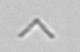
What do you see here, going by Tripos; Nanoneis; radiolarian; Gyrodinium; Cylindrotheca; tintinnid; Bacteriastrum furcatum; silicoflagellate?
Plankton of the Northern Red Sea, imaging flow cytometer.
I see Nanoneis.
